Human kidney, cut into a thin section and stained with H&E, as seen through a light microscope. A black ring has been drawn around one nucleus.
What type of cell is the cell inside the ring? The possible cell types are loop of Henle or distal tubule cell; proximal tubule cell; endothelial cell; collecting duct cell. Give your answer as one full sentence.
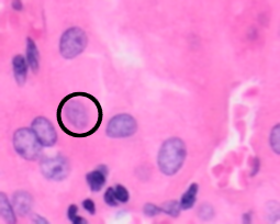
By cell type, the cell inside the ring is a proximal tubule cell.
